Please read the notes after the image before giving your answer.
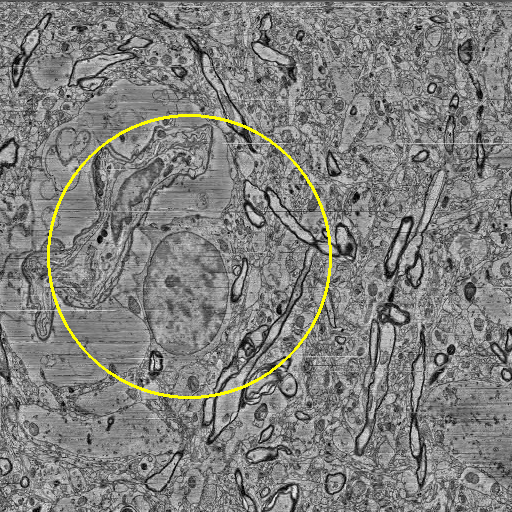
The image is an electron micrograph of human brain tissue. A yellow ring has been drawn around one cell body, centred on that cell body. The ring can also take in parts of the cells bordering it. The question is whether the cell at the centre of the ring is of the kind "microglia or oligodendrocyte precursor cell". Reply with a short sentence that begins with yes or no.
No, the cell at the centre is of another kind.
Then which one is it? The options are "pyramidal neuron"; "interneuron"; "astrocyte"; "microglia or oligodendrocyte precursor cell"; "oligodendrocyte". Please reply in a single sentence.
The cell marked by the ring is an oligodendrocyte.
